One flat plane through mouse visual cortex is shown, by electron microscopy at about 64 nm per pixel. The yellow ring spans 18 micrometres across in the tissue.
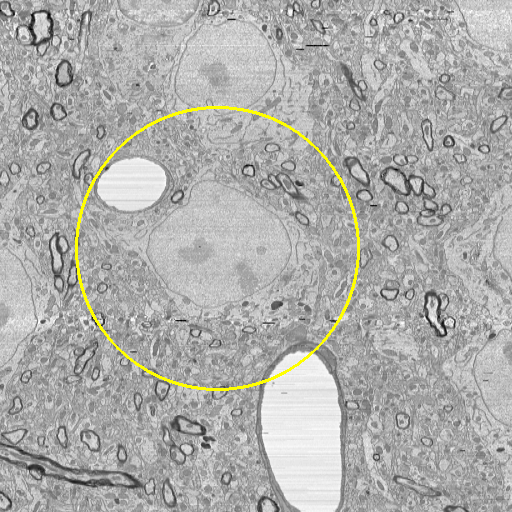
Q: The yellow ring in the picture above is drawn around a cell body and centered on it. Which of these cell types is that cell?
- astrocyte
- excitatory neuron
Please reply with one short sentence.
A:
The cell body at the ring's center belongs to an excitatory neuron.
